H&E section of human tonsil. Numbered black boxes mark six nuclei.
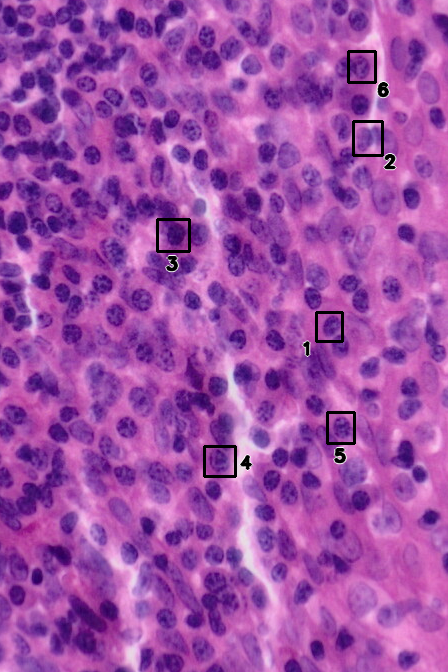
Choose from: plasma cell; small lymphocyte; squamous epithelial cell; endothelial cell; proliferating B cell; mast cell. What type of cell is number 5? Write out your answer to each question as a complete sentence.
Denoted by the label 5 in the section is a plasma cell.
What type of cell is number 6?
In this section, number 6 marks a plasma cell.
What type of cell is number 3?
The numeral 3 marks a squamous epithelial cell in this section.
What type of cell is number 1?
The cell assigned the number 1 is a plasma cell.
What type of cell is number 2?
The cell whose nucleus carries the number 2 is a squamous epithelial cell.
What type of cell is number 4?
Cell 4 is classified as a plasma cell.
